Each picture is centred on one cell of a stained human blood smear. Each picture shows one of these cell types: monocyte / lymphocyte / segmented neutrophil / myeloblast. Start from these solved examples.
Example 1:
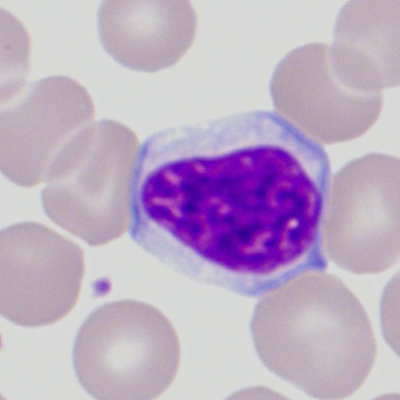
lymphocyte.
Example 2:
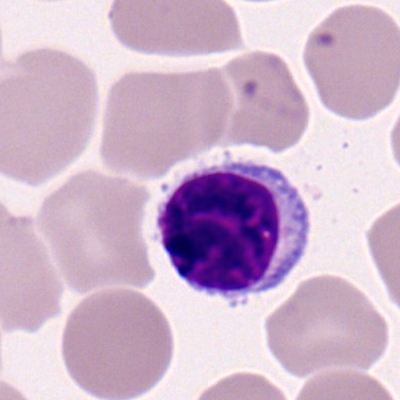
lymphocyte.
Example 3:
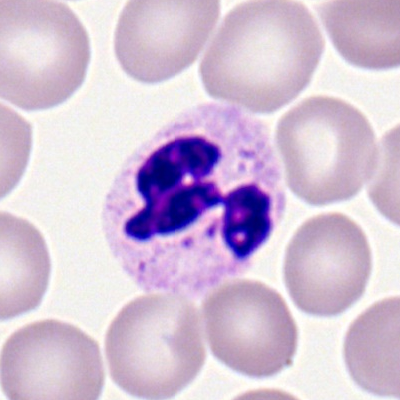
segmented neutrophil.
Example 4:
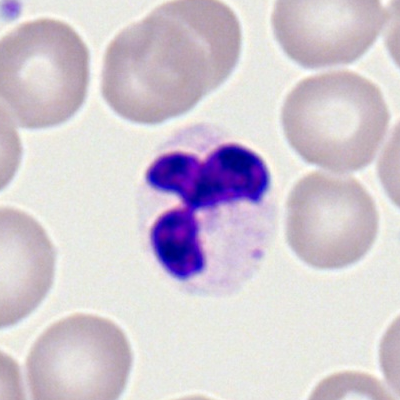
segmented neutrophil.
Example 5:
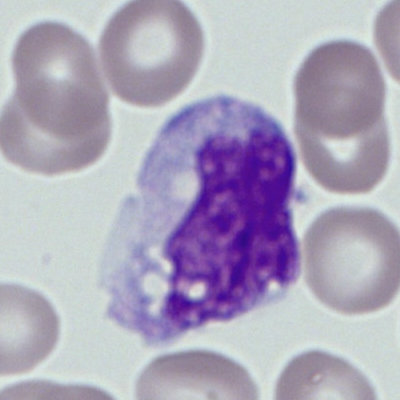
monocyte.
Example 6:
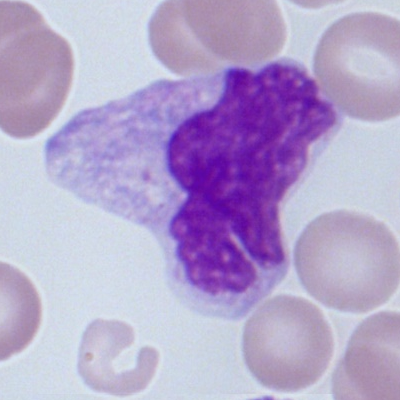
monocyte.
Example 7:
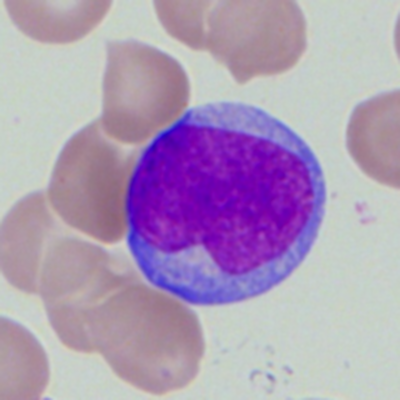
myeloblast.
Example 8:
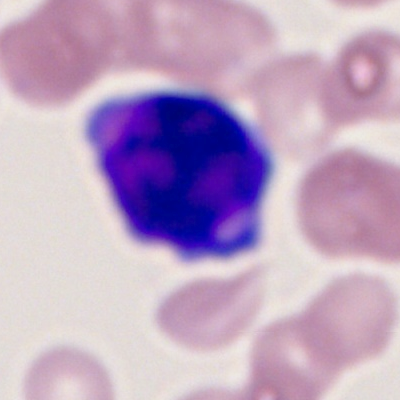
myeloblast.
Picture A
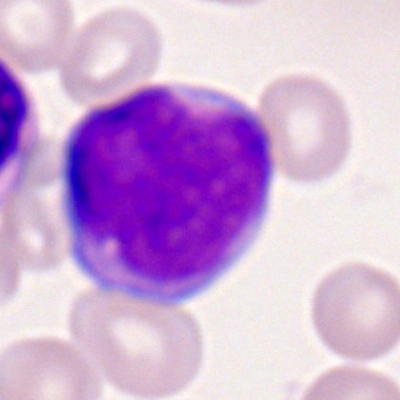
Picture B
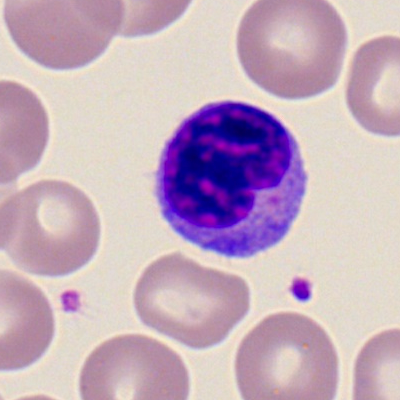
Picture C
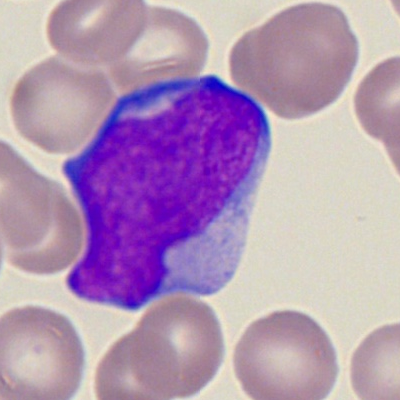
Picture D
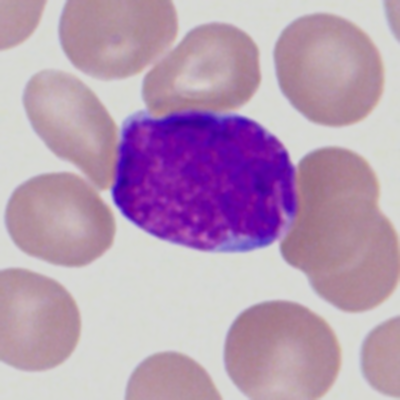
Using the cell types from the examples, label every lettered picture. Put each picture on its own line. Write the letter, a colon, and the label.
A: myeloblast.
B: lymphocyte.
C: myeloblast.
D: myeloblast.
